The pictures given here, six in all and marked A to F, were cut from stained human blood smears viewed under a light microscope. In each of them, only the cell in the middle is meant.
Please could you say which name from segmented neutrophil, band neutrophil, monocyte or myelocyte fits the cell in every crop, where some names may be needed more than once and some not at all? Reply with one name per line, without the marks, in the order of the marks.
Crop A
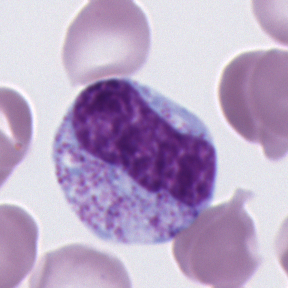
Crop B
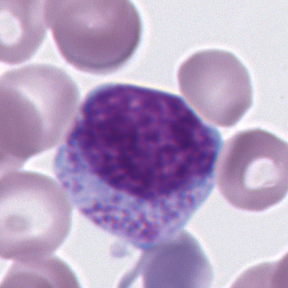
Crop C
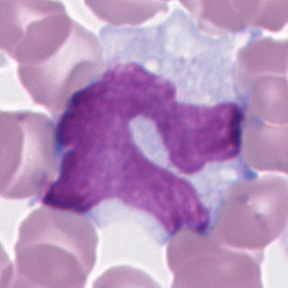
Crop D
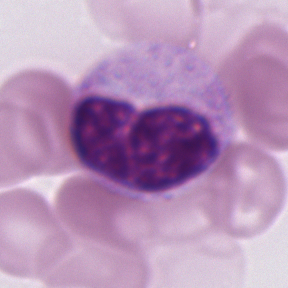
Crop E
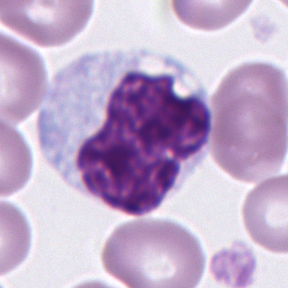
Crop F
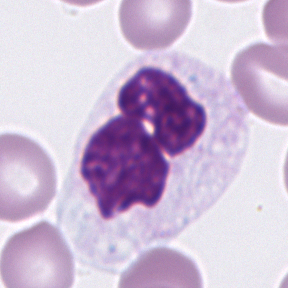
band neutrophil
myelocyte
monocyte
band neutrophil
monocyte
segmented neutrophil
